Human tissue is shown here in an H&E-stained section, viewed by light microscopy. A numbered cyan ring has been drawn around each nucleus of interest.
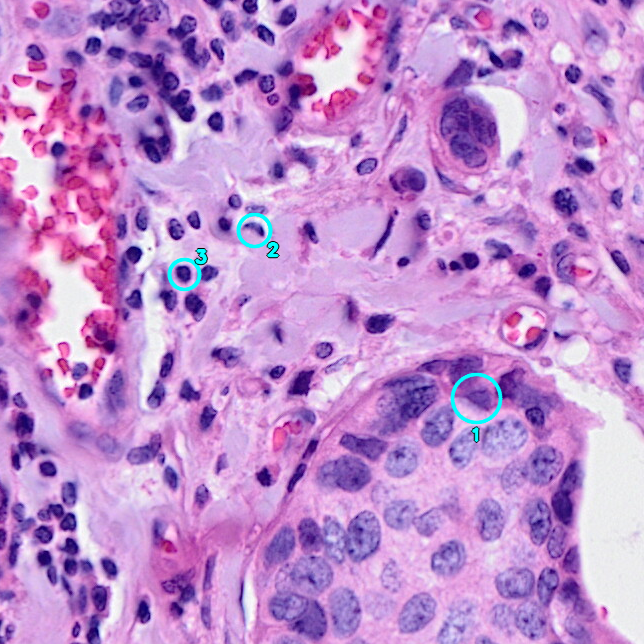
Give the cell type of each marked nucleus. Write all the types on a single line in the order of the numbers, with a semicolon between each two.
carcinoma cell; lymphocyte; lymphocyte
